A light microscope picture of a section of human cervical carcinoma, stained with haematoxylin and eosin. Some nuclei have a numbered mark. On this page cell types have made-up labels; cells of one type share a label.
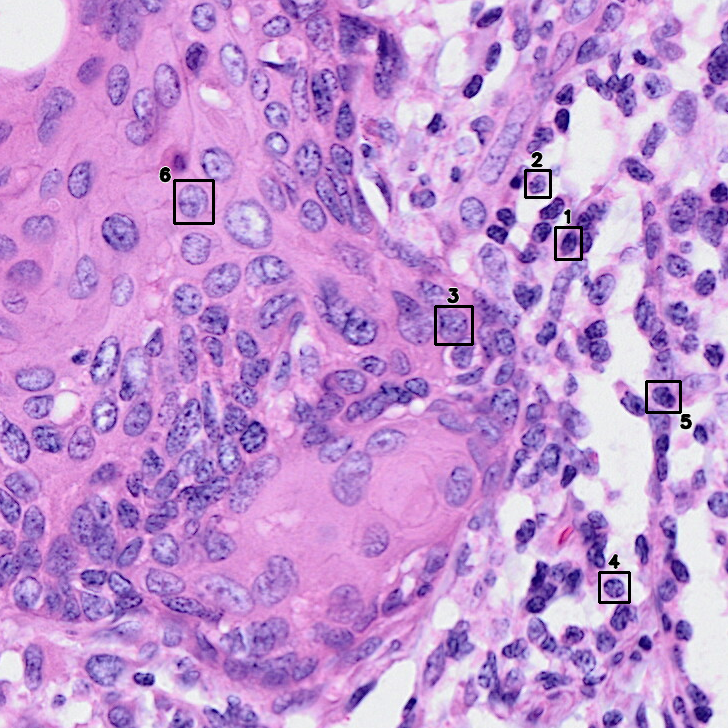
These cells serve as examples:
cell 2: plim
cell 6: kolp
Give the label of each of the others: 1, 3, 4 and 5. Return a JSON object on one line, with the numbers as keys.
{"1": "plim", "3": "kolp", "4": "plim", "5": "plim"}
